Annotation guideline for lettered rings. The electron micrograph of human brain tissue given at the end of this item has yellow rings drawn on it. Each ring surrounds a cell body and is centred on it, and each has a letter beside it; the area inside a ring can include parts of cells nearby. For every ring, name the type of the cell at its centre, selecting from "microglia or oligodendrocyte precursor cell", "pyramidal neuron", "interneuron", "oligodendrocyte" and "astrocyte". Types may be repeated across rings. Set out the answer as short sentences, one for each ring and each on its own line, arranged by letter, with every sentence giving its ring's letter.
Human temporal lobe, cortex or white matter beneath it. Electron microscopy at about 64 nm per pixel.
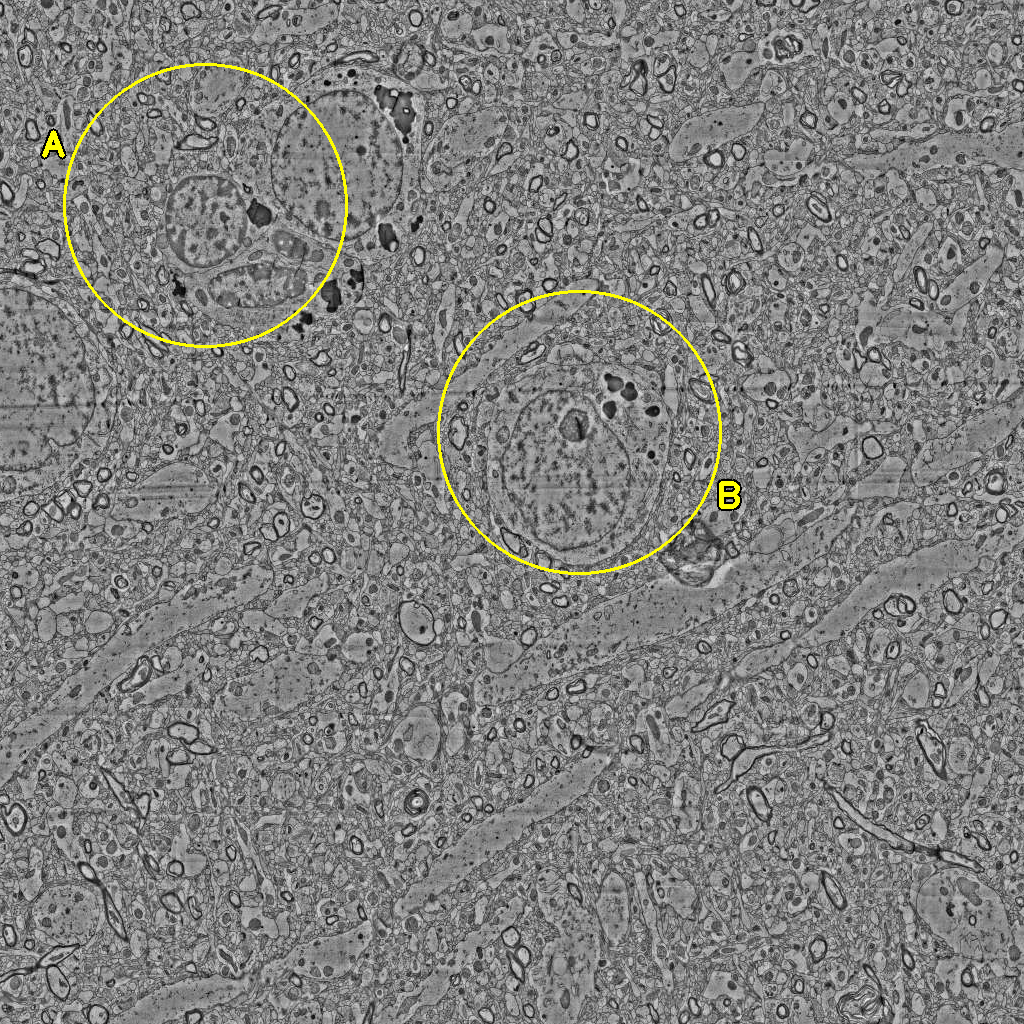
The cell centred in ring A is an oligodendrocyte.
The cell centred in ring B is a pyramidal neuron.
